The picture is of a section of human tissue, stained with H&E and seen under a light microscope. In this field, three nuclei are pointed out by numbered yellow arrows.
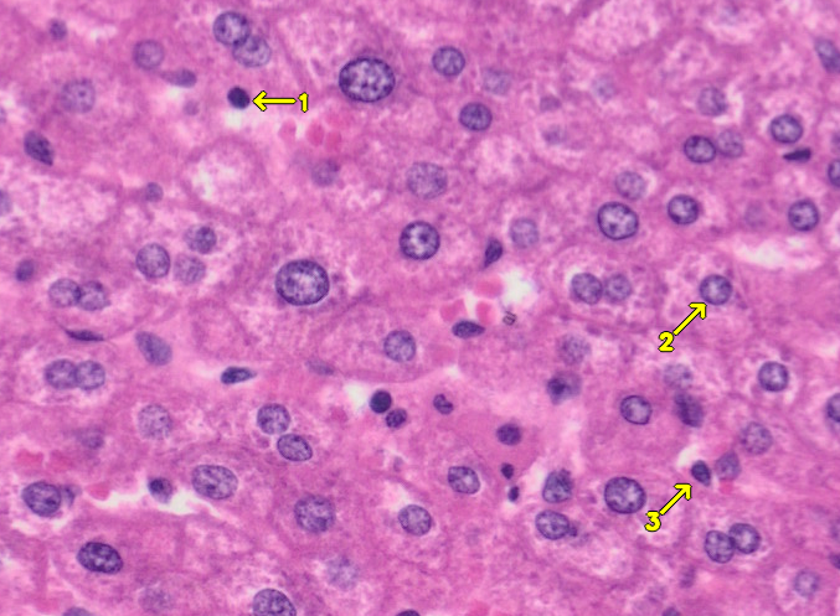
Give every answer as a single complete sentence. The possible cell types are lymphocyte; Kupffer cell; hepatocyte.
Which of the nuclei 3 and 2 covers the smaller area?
The smaller nucleus is 3, and 2 covers roughly 2 times its area.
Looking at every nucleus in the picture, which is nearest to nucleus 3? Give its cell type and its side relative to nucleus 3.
The nearest one is a Kupffer cell, found to the right of nucleus 3.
